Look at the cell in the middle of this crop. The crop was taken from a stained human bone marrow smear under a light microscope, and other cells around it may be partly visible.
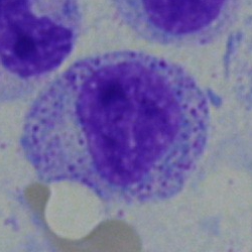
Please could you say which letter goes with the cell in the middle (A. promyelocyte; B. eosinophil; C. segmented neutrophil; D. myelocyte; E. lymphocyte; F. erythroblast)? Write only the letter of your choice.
D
